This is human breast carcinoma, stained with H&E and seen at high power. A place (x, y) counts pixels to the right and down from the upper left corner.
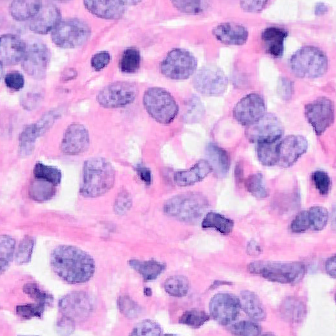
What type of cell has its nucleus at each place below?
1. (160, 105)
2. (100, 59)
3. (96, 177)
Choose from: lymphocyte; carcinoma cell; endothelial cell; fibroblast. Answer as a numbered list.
1. carcinoma cell
2. lymphocyte
3. carcinoma cell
